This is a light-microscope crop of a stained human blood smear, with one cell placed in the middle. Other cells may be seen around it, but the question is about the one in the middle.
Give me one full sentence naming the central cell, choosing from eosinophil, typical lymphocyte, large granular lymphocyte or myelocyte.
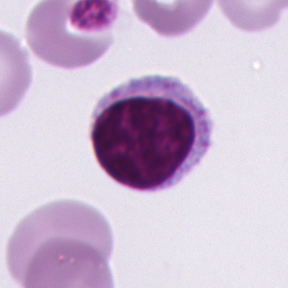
In the center of this field lies a large granular lymphocyte.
